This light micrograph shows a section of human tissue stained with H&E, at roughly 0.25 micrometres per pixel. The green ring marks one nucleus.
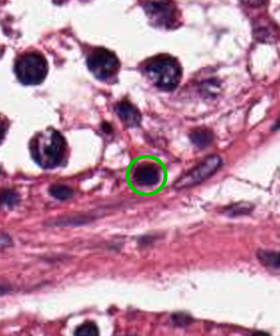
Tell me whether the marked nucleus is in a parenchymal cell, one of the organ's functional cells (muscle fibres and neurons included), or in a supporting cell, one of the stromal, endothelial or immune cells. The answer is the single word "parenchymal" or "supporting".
parenchymal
